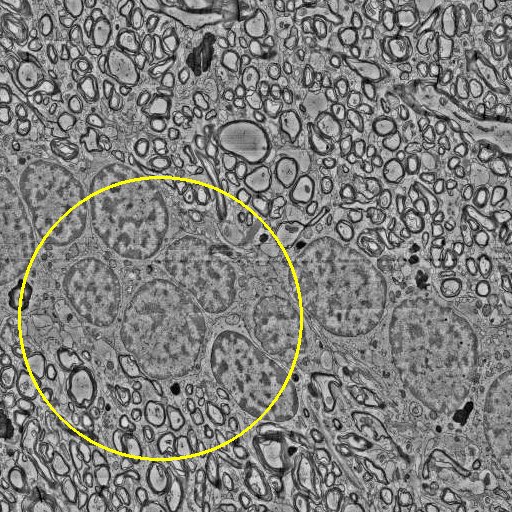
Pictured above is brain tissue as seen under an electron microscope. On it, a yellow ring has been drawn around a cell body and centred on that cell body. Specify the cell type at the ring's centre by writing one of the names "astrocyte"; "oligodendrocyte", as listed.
oligodendrocyte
